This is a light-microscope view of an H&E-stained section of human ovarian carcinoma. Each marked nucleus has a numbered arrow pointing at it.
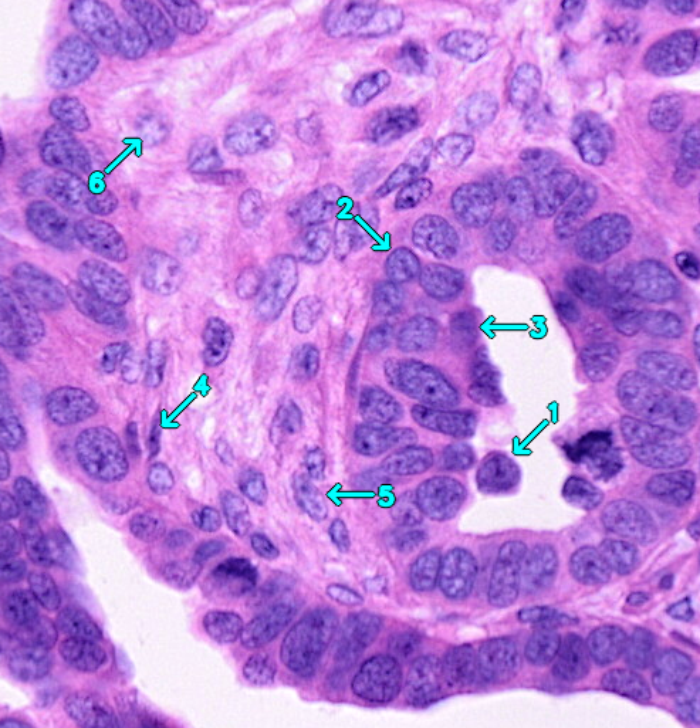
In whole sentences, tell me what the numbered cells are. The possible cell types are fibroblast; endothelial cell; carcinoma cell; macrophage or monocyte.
Cells 1, 2 and 3 are carcinoma cells. Cells 4, 5 and 6 are fibroblasts.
